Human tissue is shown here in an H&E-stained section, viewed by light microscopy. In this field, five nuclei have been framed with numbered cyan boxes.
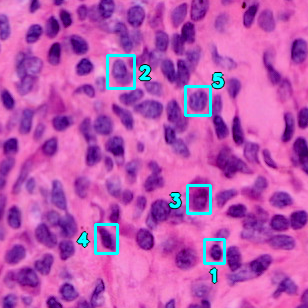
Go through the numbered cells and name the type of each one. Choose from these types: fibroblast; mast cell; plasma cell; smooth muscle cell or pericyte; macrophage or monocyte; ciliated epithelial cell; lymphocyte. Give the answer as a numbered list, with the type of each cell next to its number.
1. lymphocyte
2. lymphocyte
3. plasma cell
4. plasma cell
5. lymphocyte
